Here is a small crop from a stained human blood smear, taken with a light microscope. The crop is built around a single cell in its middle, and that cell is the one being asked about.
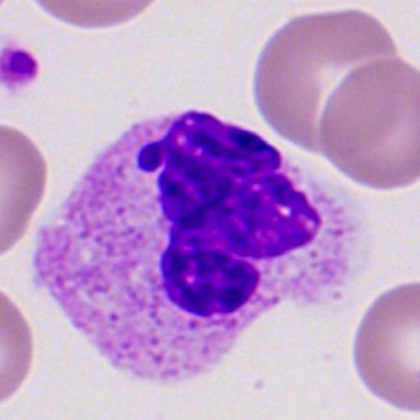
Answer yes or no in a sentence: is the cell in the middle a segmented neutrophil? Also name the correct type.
Yes, the cell in the centre is a segmented neutrophil.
